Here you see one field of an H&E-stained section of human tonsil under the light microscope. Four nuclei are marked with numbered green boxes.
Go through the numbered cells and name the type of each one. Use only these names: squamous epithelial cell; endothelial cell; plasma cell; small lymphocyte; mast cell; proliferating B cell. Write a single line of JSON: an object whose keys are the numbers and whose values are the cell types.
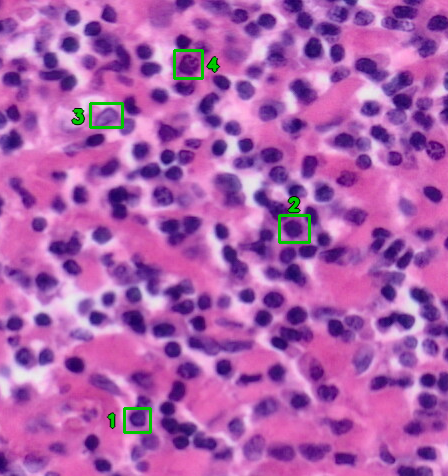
{"1": "plasma cell", "2": "plasma cell", "3": "endothelial cell", "4": "plasma cell"}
